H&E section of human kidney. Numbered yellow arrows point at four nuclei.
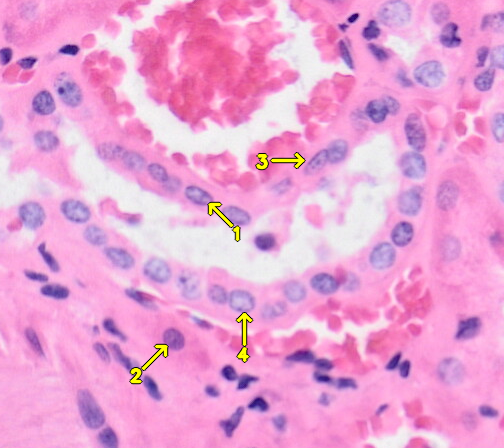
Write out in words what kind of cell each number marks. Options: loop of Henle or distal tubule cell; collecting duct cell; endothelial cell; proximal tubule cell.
Cells 1, 3 and 4 are collecting duct cells. Cell 2 is a proximal tubule cell.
